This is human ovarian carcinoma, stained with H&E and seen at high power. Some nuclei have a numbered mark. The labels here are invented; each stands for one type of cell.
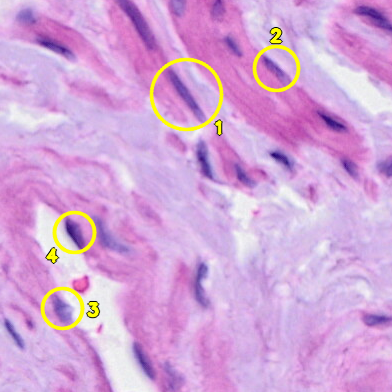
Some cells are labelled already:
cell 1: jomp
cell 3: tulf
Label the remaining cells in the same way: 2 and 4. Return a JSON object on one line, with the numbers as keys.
{"2": "jomp", "4": "tulf"}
